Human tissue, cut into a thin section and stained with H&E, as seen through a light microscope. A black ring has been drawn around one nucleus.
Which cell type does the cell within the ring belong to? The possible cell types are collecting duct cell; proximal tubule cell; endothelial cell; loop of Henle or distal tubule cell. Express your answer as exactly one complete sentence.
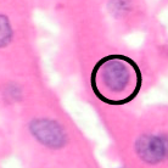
The expected answer is simply that the cell within the ring is a proximal tubule cell.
